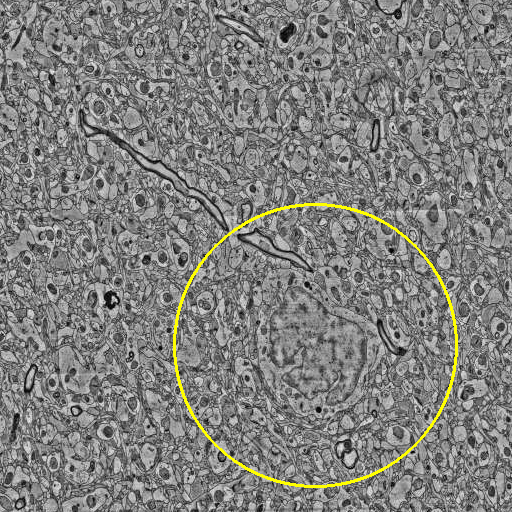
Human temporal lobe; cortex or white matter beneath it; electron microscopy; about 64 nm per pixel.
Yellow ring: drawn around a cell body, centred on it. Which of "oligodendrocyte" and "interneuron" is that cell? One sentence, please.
That cell body is from an interneuron.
